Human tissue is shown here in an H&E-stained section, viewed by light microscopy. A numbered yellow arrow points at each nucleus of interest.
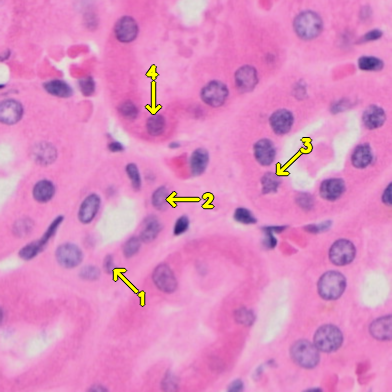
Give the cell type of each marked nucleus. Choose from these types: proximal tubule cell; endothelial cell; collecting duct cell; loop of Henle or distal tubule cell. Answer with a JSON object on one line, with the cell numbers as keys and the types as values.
{"1": "collecting duct cell", "2": "collecting duct cell", "3": "loop of Henle or distal tubule cell", "4": "proximal tubule cell"}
